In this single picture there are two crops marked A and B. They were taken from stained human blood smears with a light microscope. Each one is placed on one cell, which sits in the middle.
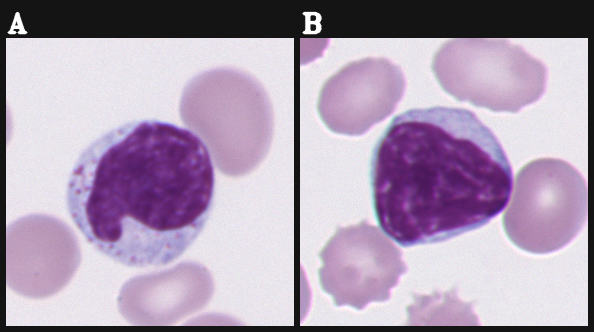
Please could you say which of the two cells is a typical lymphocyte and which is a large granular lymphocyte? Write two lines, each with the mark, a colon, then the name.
A: large granular lymphocyte
B: typical lymphocyte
